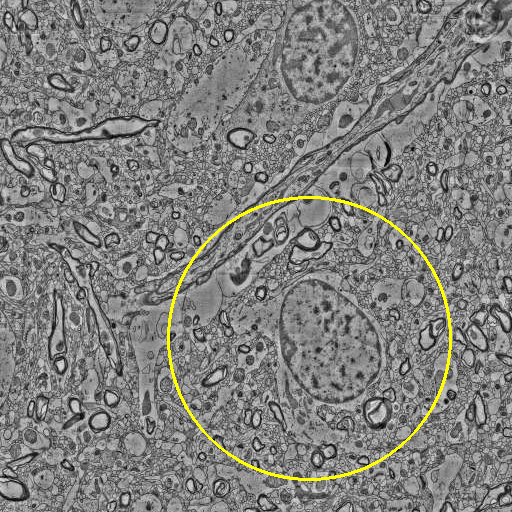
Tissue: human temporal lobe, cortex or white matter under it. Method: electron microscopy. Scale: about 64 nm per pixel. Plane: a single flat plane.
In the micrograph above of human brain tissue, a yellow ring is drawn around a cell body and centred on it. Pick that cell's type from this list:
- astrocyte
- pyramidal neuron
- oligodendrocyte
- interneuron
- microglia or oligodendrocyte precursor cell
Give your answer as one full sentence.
Going by the list, a microglial cell or oligodendrocyte precursor cell is the cell on which the yellow ring is centred.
